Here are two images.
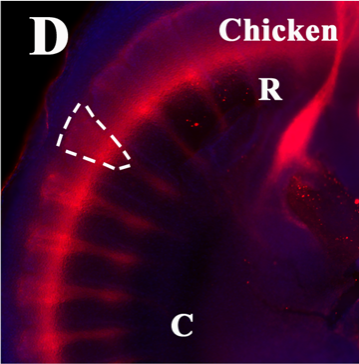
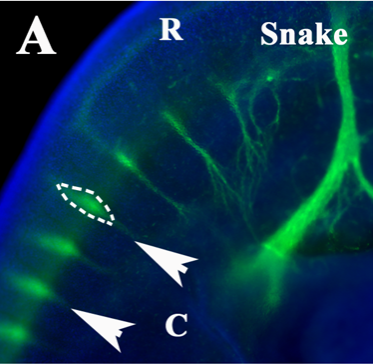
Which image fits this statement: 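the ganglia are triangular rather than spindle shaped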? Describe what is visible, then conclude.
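First image: the outlined red cluster is wide at its base and tapers to a point, a triangle. Second image: the outlined green cluster is long and narrow, tapering at both ends like a spindle. That points to this answer: the first image.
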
